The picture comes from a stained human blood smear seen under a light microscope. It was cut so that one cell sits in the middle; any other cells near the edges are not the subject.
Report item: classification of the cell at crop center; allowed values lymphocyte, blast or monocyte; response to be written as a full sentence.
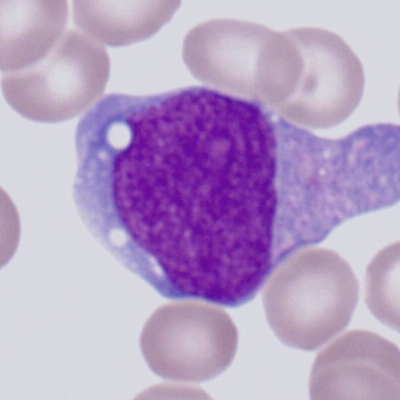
Located at the centre of the crop is a blast.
